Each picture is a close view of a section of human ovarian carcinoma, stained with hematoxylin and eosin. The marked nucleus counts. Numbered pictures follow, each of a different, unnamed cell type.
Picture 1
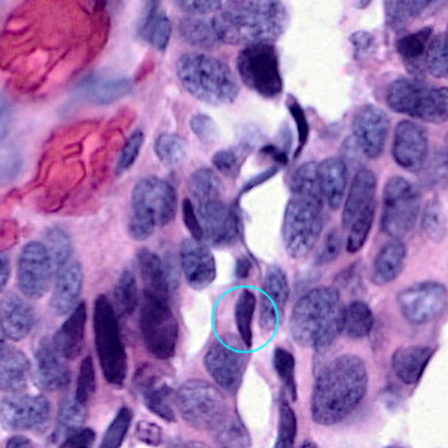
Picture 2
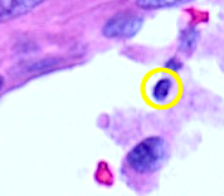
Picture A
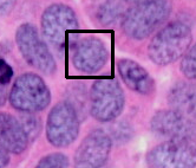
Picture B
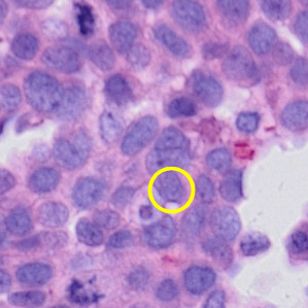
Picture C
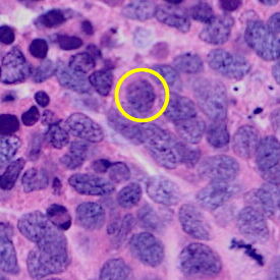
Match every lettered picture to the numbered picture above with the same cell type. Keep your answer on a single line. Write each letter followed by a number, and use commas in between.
A 1, B 1, C 1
